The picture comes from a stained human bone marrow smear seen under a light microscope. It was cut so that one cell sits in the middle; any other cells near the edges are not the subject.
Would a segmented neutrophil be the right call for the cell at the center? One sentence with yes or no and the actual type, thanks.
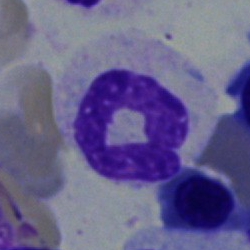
No, the central cell here is a band neutrophil; calling it a segmented neutrophil is not right.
